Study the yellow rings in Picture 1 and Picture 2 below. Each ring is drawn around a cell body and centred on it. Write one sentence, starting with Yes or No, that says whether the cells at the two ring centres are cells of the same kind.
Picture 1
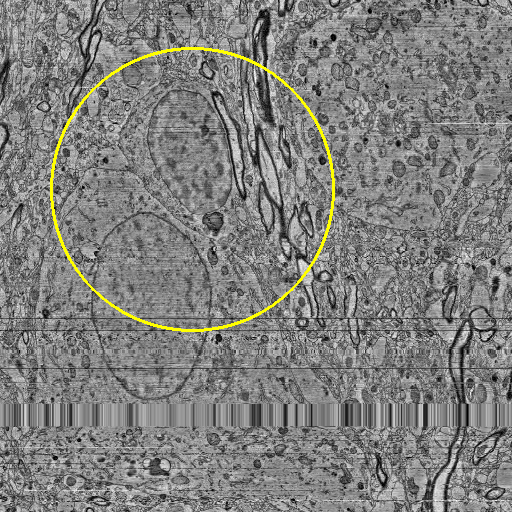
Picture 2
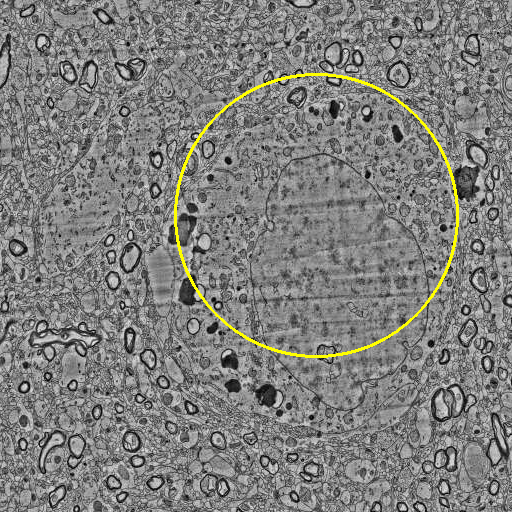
No, the cells at the ring centres are of two kinds.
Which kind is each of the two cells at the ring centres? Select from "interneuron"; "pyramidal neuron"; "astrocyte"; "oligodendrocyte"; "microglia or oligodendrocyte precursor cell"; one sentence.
The cell at the centre of the ring is an oligodendrocyte in the first picture and a pyramidal neuron in the second.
